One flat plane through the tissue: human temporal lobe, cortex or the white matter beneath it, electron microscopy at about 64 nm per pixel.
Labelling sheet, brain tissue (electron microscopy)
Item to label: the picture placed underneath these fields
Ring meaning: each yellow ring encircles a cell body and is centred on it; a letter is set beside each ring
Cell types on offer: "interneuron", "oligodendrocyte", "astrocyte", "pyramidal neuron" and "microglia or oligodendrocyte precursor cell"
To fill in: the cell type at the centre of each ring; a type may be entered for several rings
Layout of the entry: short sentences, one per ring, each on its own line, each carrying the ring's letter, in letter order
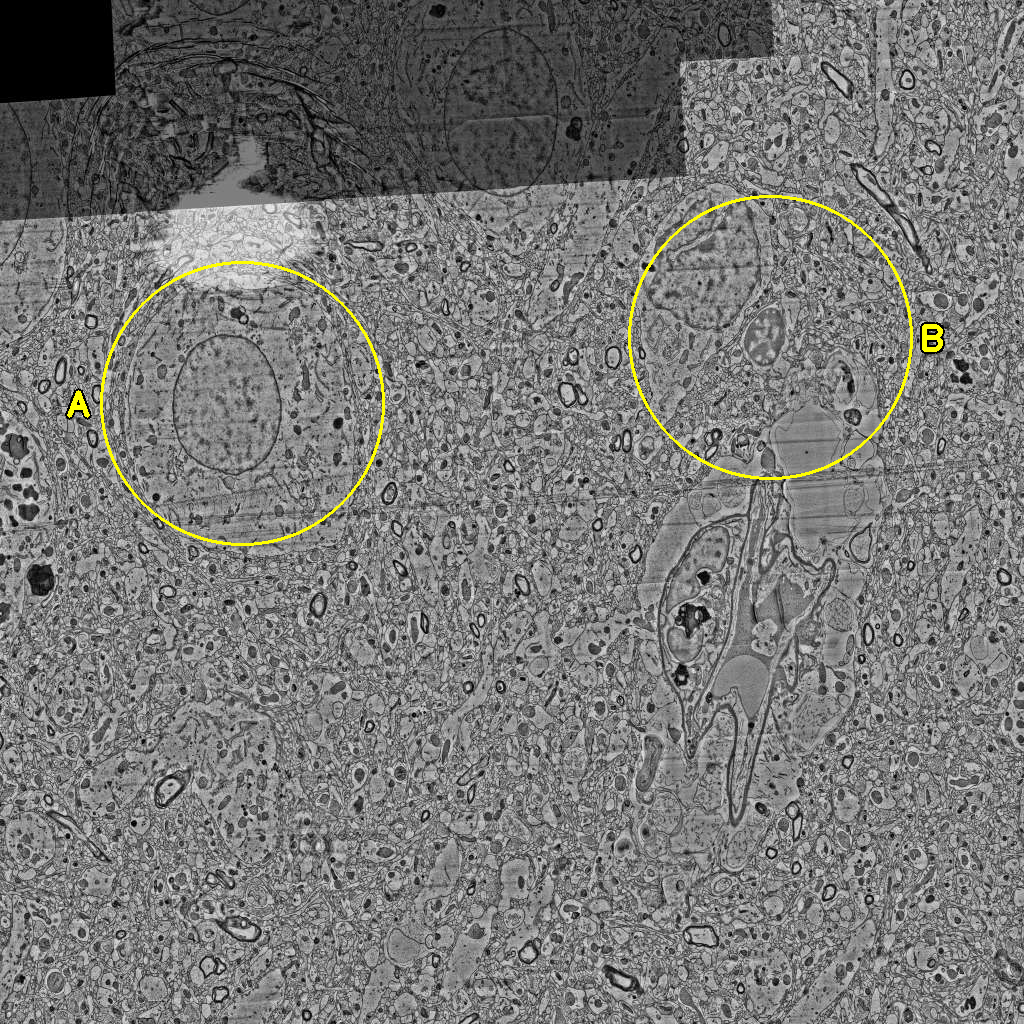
Ring A encircles the body of a pyramidal neuron.
Ring B encircles the body of a microglial cell or oligodendrocyte precursor cell.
